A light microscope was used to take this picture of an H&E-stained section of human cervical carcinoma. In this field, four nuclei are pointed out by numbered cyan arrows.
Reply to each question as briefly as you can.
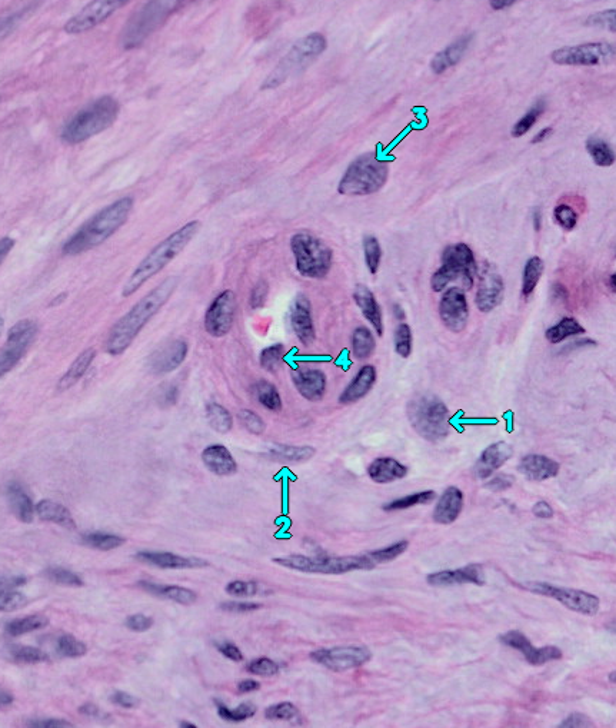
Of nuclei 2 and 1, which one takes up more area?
1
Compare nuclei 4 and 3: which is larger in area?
3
